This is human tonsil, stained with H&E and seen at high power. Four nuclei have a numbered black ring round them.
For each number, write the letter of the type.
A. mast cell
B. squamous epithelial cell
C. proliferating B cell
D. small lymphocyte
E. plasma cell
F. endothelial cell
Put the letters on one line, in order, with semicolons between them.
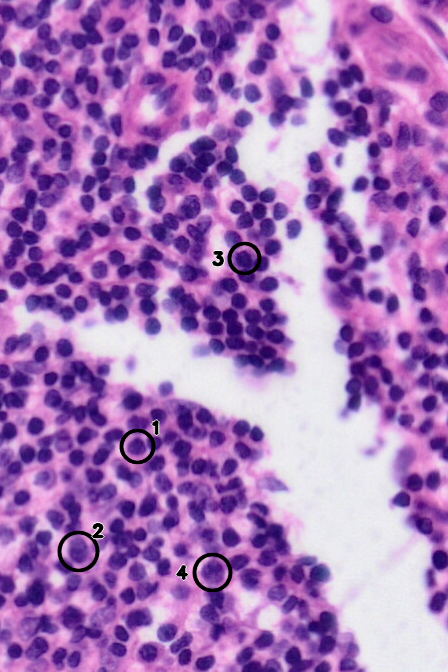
D; C; D; C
